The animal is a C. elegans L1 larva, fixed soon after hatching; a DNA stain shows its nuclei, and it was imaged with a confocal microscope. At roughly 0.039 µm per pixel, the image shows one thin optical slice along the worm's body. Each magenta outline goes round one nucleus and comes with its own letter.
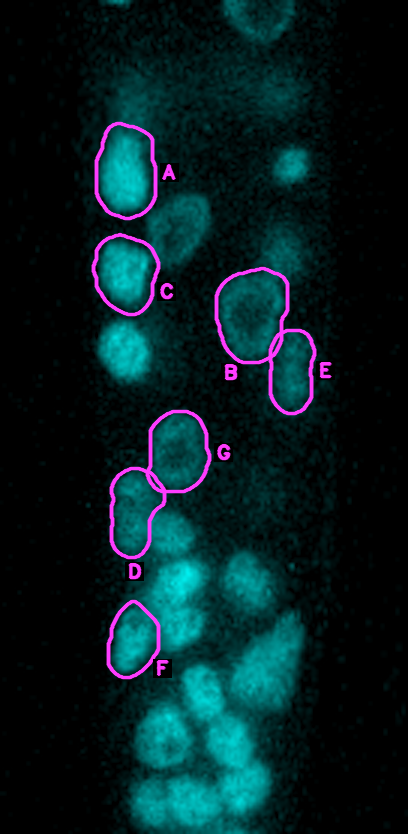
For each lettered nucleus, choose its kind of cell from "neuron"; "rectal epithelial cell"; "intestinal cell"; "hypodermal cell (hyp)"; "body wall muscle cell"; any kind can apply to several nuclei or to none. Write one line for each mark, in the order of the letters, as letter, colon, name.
A: neuron
B: intestinal cell
C: neuron
D: neuron
E: body wall muscle cell
F: rectal epithelial cell
G: intestinal cell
